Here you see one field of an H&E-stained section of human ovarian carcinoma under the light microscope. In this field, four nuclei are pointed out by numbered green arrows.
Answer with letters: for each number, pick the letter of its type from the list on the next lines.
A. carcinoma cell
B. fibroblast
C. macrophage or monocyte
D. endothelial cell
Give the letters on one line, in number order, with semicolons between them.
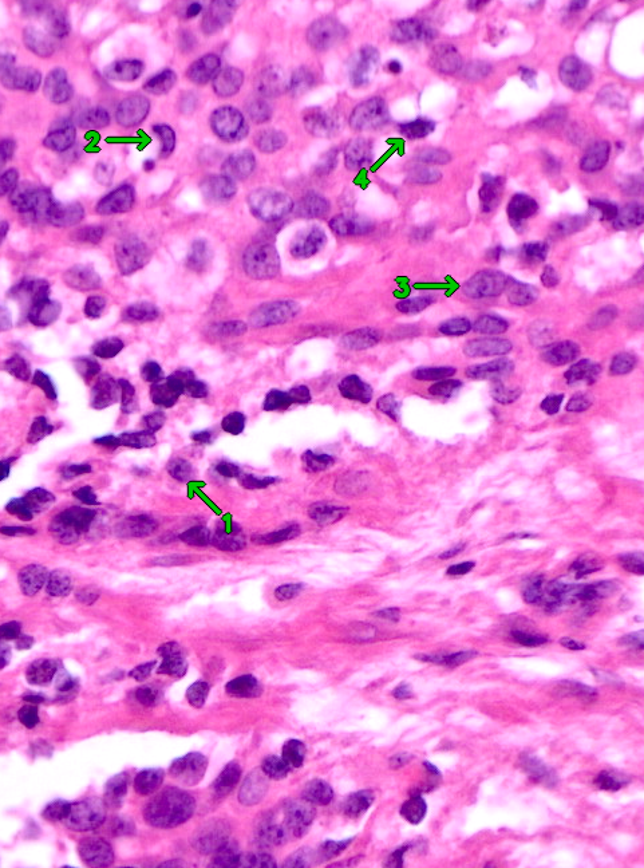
C; C; A; A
